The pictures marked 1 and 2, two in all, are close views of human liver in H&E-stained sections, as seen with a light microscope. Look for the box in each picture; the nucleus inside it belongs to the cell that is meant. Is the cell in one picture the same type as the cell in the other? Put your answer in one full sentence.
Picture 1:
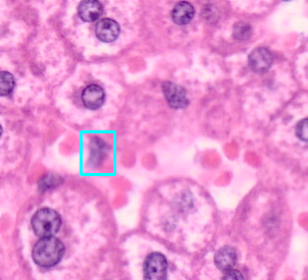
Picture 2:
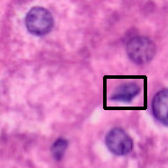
Yes; the cells in both pictures are endothelial cells.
